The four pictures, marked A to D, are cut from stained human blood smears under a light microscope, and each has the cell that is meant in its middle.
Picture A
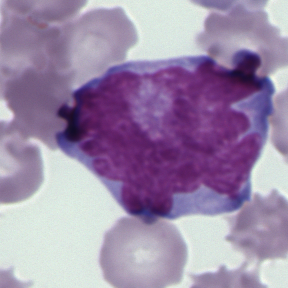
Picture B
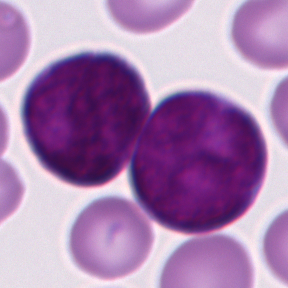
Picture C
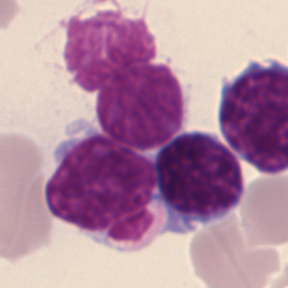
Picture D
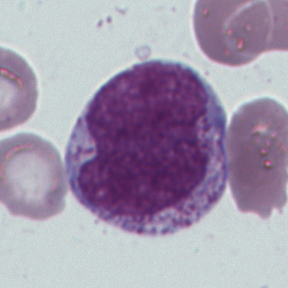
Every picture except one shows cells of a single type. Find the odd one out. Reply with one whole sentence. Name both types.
Picture D differs, because its cell is a promyelocyte and the rest are myeloblasts.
